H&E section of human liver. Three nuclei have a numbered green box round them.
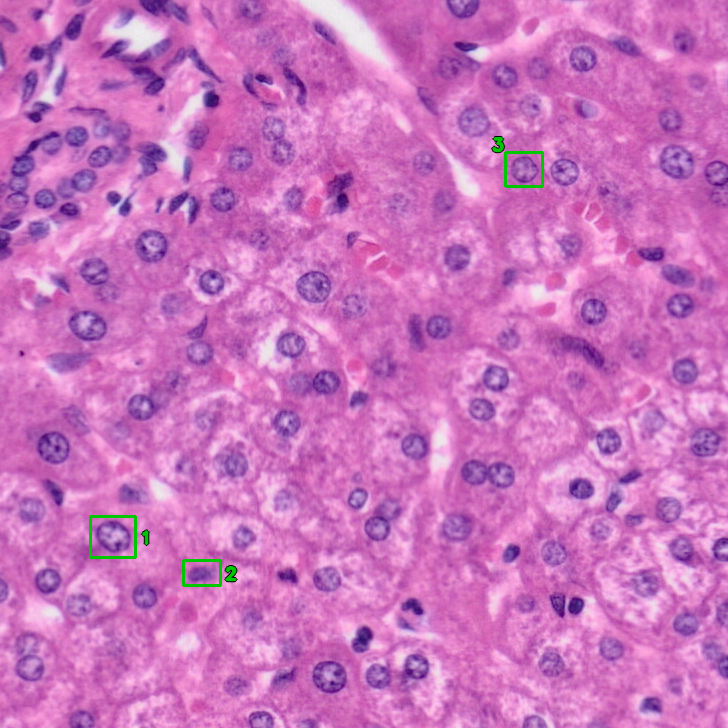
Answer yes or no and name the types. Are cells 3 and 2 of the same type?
No, cell 3 is a hepatocyte and cell 2 is a fibroblast or stellate cell.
